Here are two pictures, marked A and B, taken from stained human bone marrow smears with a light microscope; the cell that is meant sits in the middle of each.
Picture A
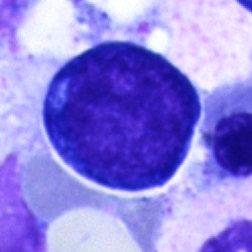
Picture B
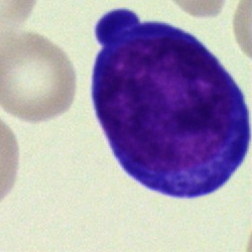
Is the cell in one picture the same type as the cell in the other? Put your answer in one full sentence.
Yes, the two pictures both show proerythroblasts.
